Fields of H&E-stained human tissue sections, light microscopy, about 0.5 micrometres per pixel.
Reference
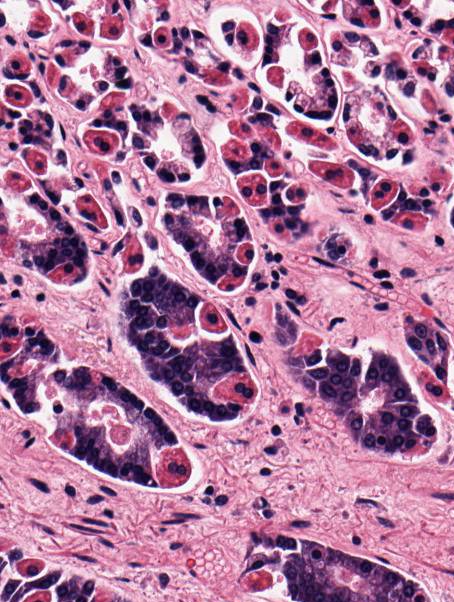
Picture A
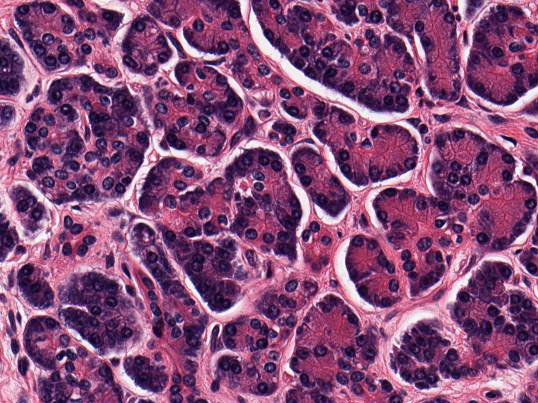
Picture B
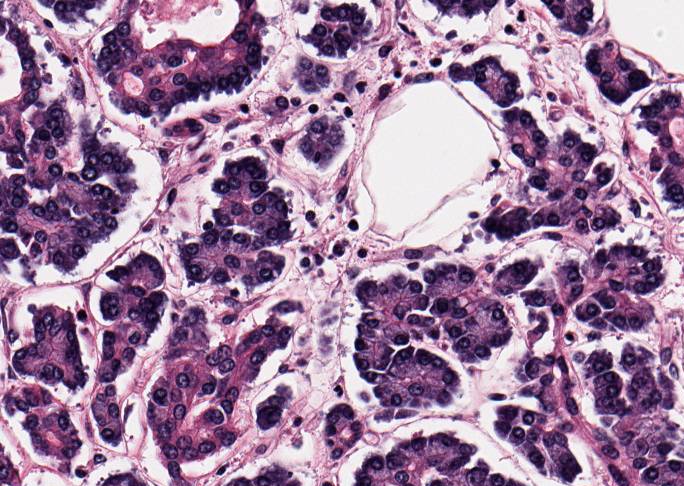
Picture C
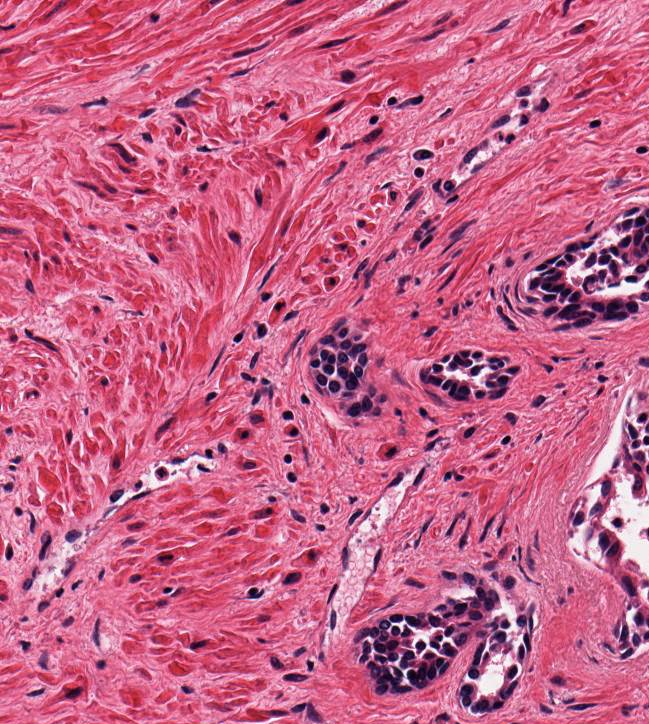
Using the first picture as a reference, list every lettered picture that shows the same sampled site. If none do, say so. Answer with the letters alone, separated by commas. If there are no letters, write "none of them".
none of them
